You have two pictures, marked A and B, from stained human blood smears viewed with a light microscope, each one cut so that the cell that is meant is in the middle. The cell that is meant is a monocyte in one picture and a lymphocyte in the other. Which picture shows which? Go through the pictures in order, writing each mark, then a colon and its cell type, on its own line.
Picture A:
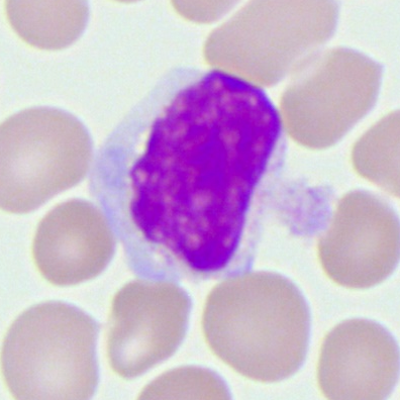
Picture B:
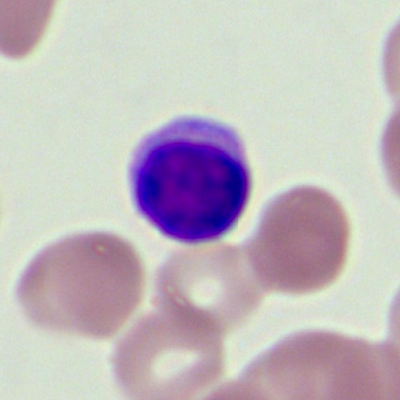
A: monocyte
B: lymphocyte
